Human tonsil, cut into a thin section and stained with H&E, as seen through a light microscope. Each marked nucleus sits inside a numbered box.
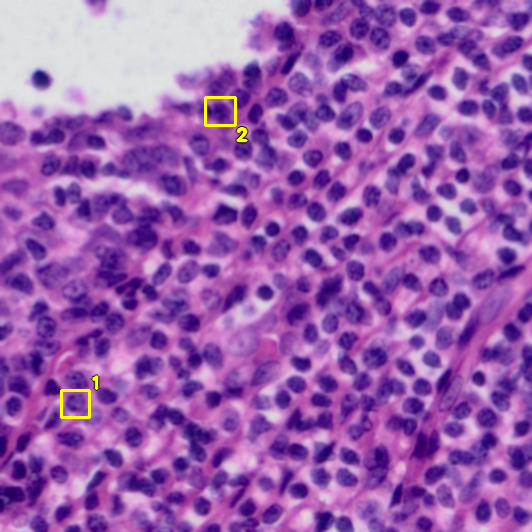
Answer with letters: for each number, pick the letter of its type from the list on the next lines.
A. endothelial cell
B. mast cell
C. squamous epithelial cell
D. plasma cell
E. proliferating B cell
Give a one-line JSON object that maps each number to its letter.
{"1": "D", "2": "C"}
